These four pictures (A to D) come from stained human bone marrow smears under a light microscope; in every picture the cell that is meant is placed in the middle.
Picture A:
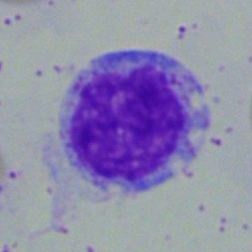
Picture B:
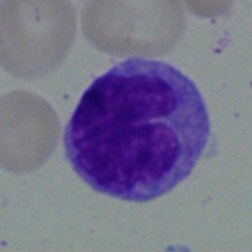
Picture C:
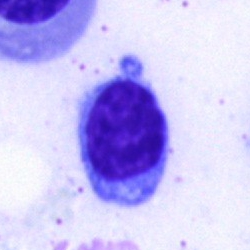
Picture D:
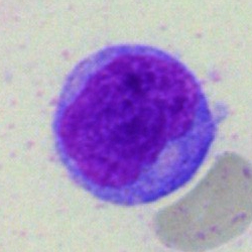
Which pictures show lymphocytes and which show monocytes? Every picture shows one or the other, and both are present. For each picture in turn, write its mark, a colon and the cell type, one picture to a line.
A: monocyte
B: monocyte
C: lymphocyte
D: monocyte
